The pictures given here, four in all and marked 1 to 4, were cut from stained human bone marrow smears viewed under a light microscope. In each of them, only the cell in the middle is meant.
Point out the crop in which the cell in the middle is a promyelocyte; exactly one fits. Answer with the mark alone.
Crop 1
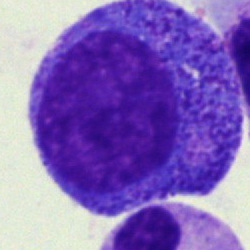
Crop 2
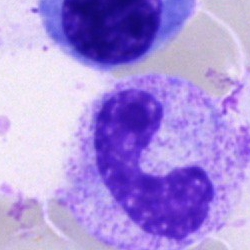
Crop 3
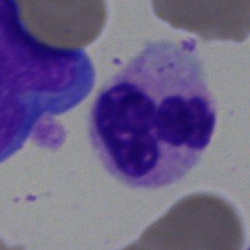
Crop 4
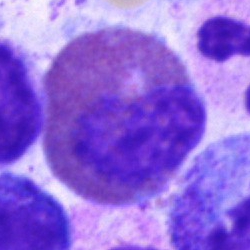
1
